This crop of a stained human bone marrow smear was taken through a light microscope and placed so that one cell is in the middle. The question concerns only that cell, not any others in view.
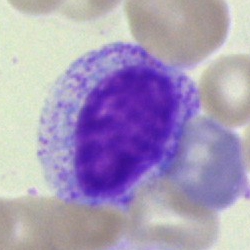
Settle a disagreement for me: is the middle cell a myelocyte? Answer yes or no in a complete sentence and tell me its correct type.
Yes, the cell positioned at the centre of the crop is a myelocyte.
